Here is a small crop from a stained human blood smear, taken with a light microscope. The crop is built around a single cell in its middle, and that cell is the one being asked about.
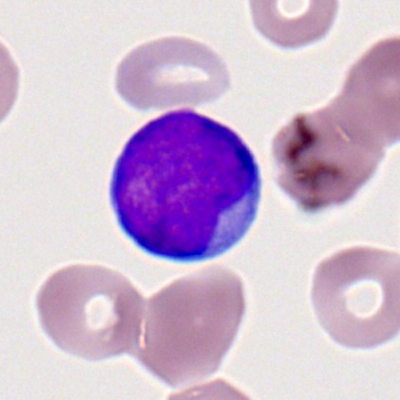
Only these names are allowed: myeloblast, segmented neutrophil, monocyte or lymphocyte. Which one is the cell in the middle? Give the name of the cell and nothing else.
myeloblast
